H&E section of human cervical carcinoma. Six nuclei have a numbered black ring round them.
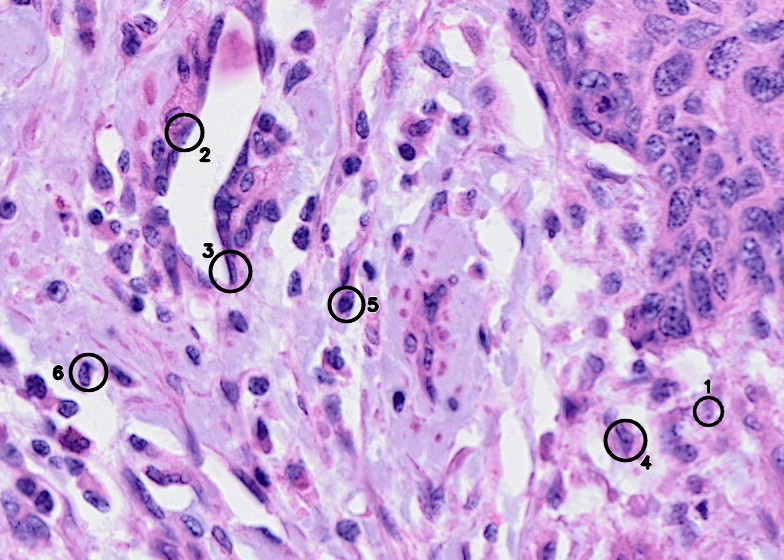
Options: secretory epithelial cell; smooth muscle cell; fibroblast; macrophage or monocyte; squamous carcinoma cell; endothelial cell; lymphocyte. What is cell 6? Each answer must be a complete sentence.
Among the marked cells, number 6 is a lymphocyte.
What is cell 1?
Here the cell numbered 1 is a fibroblast.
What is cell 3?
Cell 3 in the field of view is an endothelial cell.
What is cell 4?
The expected answer is that cell 4 is a macrophage or monocyte.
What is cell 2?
Number 2 is placed on an endothelial cell here.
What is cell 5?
The cell pointed out by number 5 is a lymphocyte.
